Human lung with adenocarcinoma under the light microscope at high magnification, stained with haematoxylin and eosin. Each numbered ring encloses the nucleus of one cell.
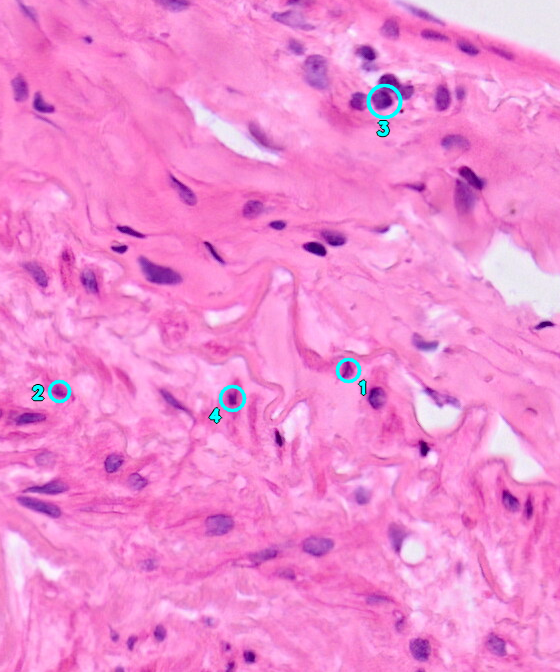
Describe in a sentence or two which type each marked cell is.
Cells 1, 2 and 4 are smooth muscle cells or pericytes. Cell 3 is a lymphocyte.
